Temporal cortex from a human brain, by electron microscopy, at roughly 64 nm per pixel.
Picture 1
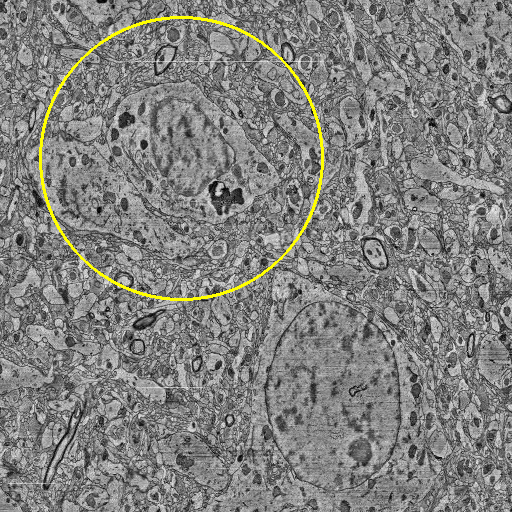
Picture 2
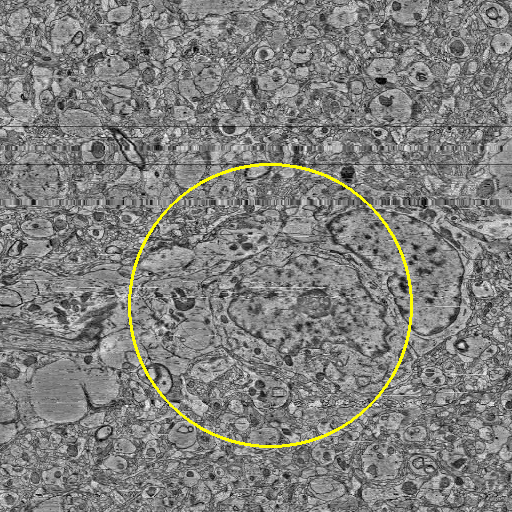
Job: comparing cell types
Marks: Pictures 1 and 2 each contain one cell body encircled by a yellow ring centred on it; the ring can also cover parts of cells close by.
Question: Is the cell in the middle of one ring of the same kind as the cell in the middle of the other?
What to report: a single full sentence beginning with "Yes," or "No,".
Yes, the cell at the ring centre in Picture 1 and its partner in Picture 2 are of one kind.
